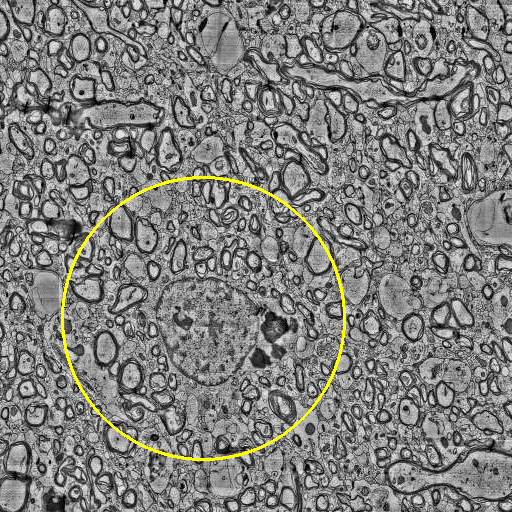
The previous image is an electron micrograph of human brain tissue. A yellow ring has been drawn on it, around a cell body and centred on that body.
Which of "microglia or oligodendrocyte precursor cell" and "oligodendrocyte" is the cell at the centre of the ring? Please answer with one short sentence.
The cell body at the centre of the ring belongs to an oligodendrocyte.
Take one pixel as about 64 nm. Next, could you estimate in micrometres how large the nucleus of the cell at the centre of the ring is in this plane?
Roughly 7 micrometres across, measured in this plane.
